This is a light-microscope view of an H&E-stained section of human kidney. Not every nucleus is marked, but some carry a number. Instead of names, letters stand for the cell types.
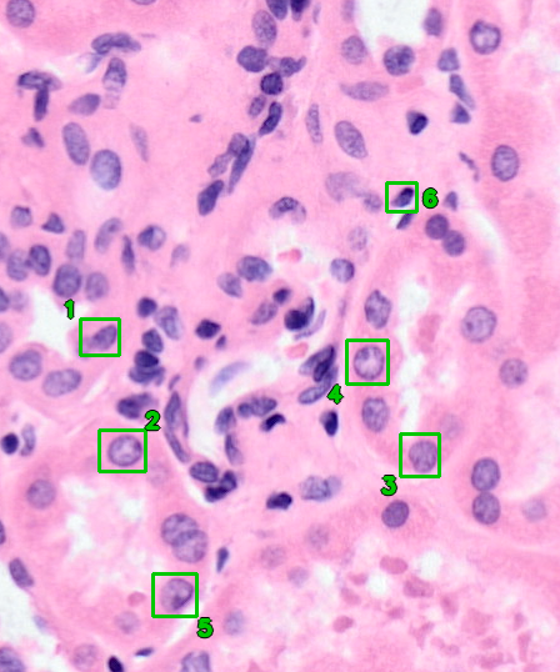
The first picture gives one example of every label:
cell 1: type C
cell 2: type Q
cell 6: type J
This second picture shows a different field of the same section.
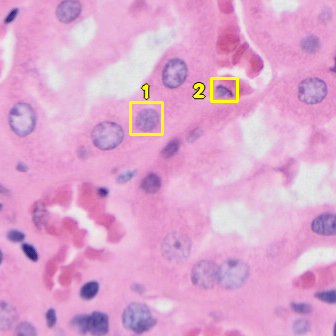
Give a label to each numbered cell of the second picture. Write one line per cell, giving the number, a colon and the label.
1: type Q
2: type J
